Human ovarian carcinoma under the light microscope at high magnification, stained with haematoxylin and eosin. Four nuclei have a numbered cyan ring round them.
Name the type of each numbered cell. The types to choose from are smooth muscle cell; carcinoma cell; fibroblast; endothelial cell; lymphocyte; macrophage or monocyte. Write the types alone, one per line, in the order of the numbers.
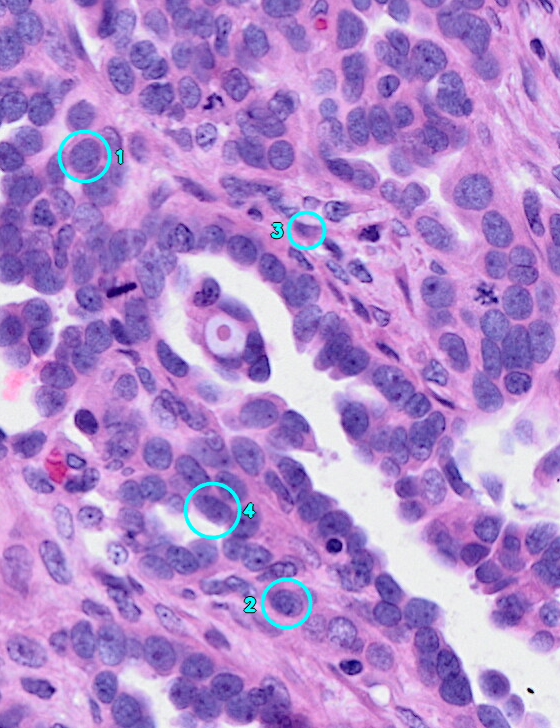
carcinoma cell
carcinoma cell
fibroblast
carcinoma cell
